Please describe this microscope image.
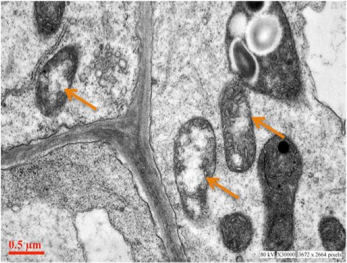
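Several oval and elongated mitochondria with double membranes lie on either side of the wall. In a number of them the matrix is pale and the inner folds are few, irregular and broken, showing disrupted cristae, while some other mitochondria appear denser. The surrounding cytoplasm is finely granular.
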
